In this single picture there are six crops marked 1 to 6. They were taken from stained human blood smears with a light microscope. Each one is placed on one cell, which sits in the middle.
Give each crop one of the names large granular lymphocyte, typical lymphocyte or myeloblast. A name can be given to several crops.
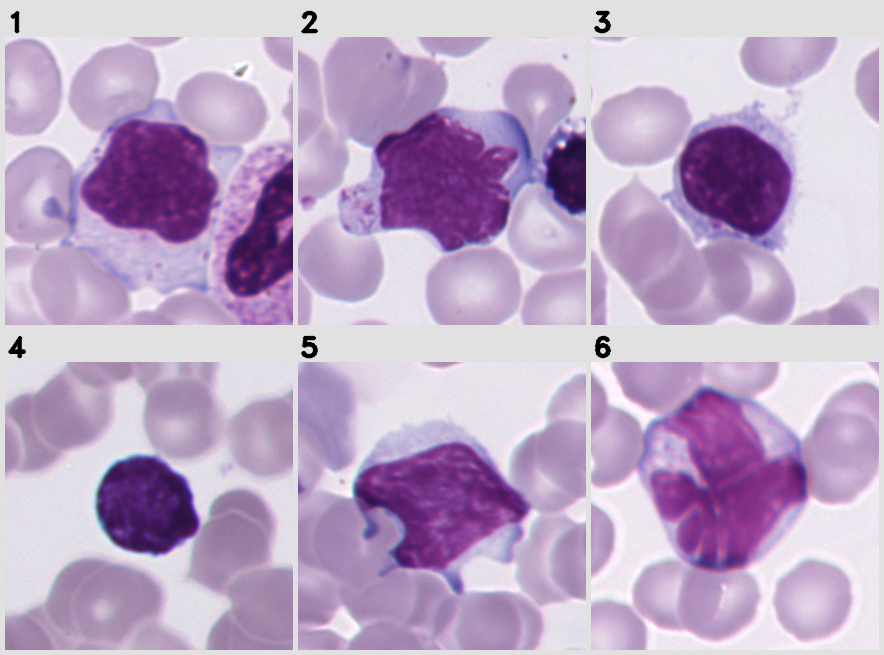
1: large granular lymphocyte
2: large granular lymphocyte
3: typical lymphocyte
4: typical lymphocyte
5: typical lymphocyte
6: large granular lymphocyte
